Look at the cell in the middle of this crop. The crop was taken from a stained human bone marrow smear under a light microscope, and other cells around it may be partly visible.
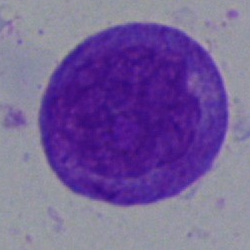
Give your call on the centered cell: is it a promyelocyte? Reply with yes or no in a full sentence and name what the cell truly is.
Yes, in this crop the cell in the middle is a promyelocyte.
